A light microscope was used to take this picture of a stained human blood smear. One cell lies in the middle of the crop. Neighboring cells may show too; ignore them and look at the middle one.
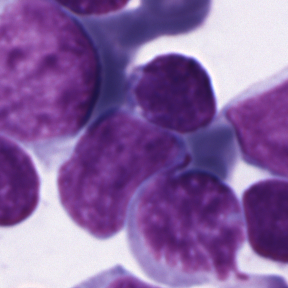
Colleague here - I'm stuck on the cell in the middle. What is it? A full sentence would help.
The single cell at the center of the crop is a blast.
